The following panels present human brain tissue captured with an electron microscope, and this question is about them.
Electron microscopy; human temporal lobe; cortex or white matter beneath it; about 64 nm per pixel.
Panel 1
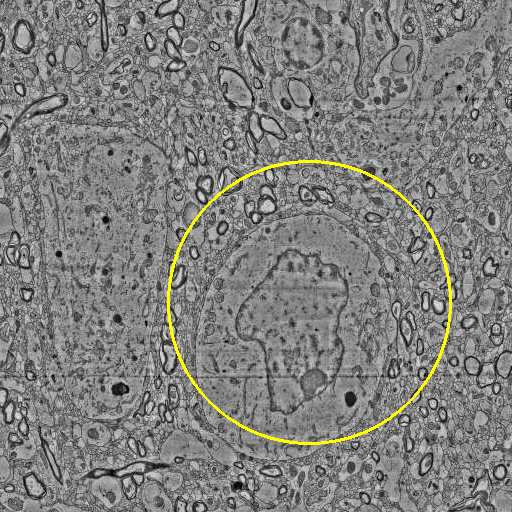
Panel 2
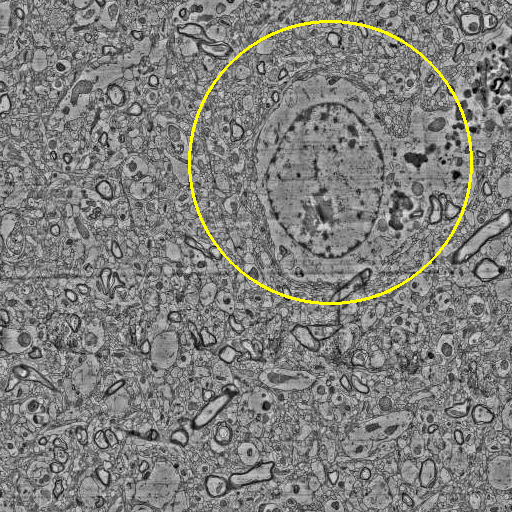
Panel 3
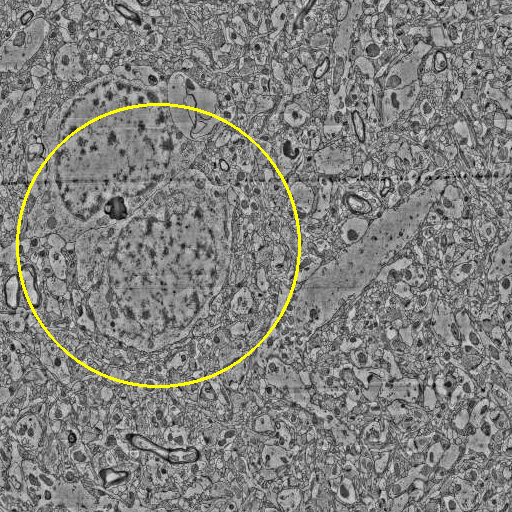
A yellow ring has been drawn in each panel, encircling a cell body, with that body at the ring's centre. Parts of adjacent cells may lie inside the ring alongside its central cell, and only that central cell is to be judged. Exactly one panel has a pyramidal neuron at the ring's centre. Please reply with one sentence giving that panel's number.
The ring whose central cell fits the description is the one in panel 1.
